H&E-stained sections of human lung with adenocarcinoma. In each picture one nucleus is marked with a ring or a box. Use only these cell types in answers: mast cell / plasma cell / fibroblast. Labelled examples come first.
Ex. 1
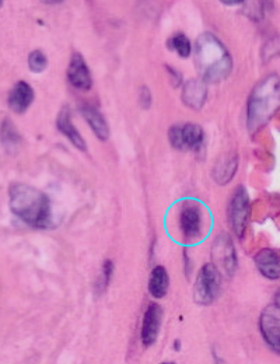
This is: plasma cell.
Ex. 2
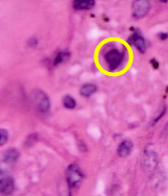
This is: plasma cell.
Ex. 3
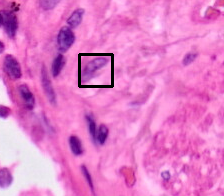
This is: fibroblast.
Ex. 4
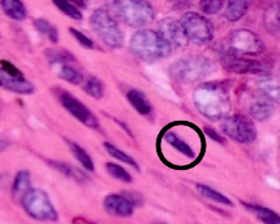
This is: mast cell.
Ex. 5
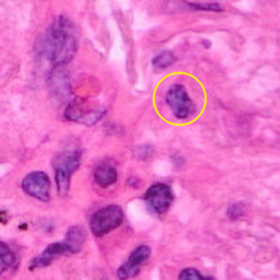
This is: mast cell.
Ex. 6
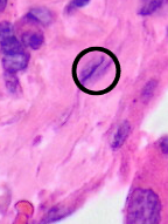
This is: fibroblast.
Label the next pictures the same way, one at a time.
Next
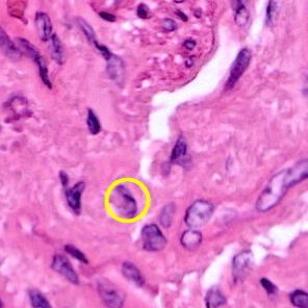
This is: fibroblast.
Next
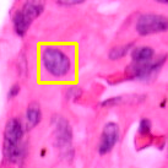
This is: mast cell.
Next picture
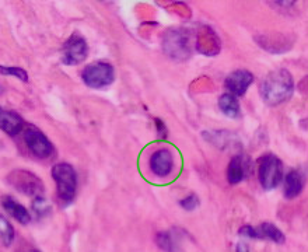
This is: mast cell.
